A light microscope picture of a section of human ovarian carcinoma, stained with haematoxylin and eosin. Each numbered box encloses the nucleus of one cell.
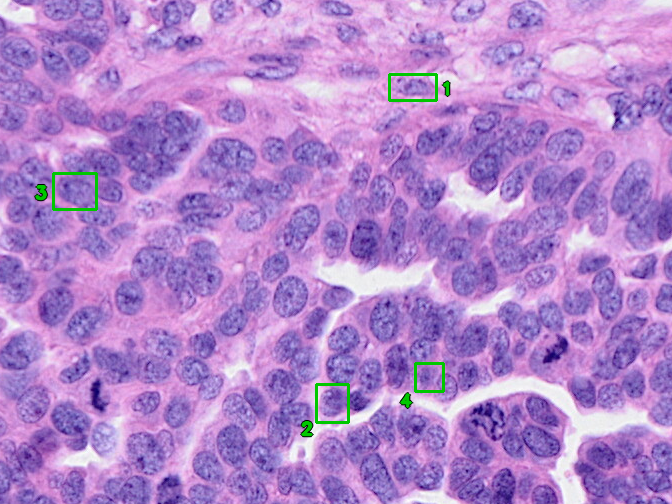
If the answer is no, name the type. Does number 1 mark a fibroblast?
Yes.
